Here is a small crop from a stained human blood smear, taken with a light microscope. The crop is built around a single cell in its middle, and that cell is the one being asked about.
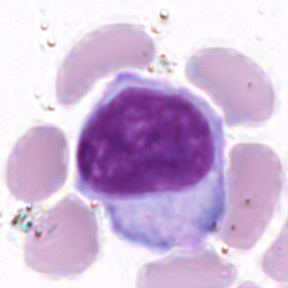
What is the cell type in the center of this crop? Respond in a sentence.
This crop's central cell is a plasma cell.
